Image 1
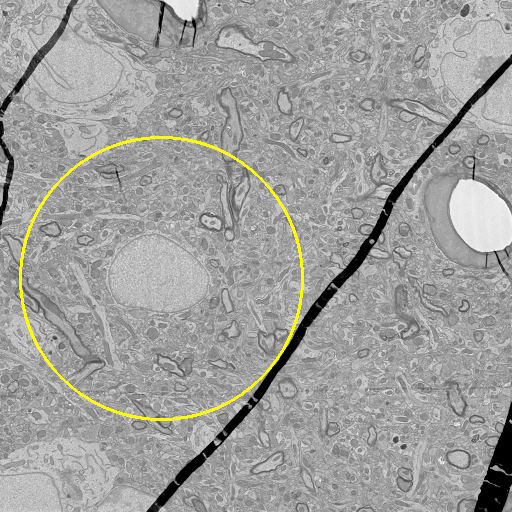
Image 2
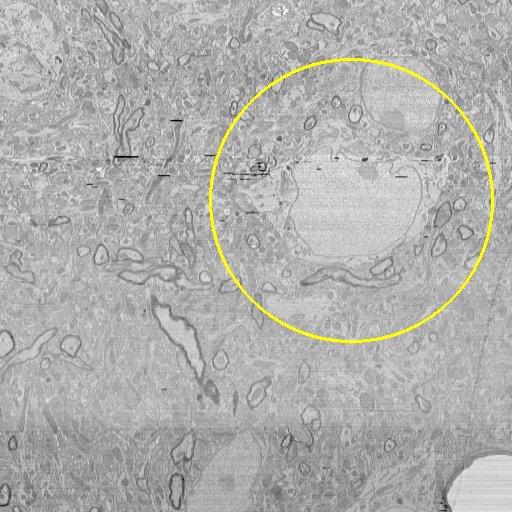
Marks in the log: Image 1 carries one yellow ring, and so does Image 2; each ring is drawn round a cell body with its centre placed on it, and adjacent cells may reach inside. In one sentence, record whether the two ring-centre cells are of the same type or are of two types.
The two cells at the ring centres, one in each image, are of two types.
